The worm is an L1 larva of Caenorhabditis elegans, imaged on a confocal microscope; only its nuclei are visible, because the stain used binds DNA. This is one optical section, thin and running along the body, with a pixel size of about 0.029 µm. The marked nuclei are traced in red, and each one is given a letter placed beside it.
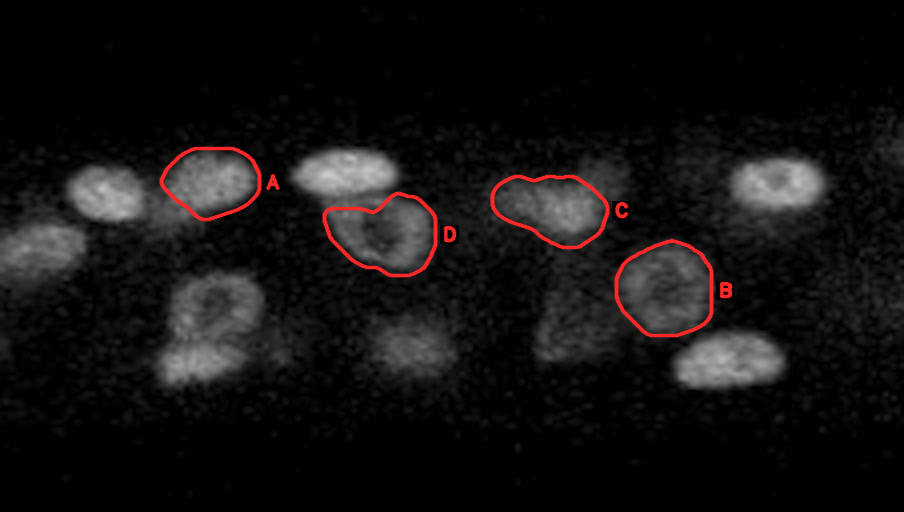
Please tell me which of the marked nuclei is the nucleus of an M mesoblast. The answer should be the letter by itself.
B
